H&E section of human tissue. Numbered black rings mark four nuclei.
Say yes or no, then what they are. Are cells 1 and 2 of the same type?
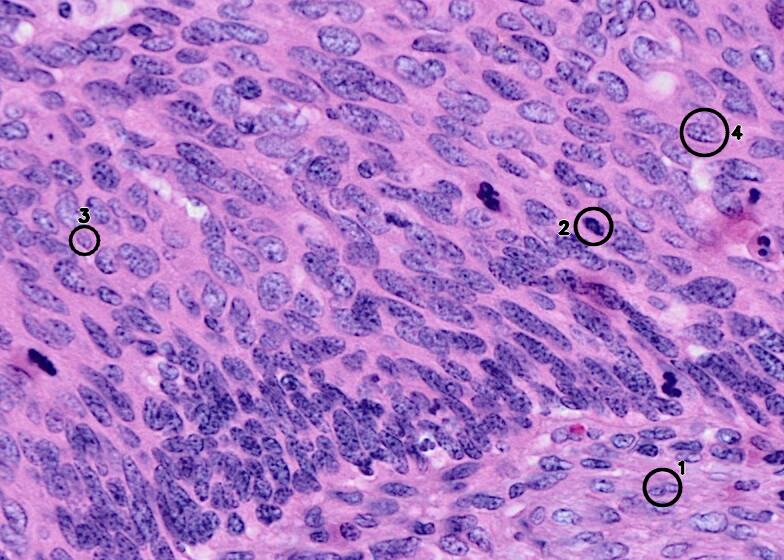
No, cell 1 is a smooth muscle cell; cell 2 is a squamous carcinoma cell.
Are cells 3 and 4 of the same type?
Yes, the cell labelled 3 and the cell labelled 4 are both squamous carcinoma cells.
